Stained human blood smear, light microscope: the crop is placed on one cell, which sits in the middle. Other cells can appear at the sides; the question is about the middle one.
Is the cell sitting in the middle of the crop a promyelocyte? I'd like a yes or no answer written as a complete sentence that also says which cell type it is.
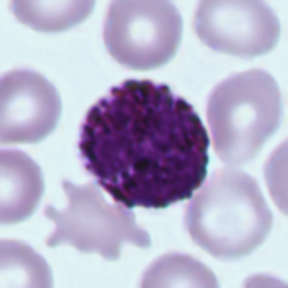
No, the central cell is properly termed a basophil, not a promyelocyte.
